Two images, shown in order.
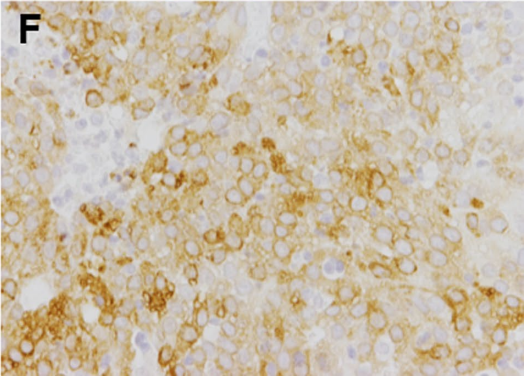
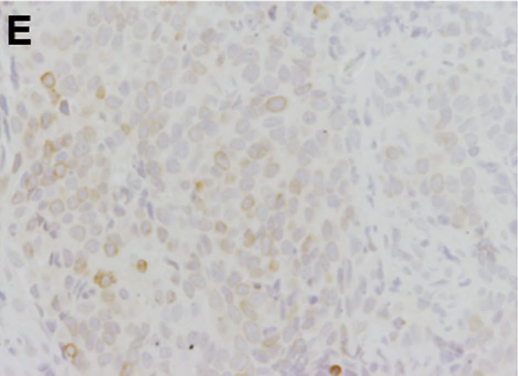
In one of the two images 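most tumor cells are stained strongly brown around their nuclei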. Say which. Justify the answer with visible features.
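The first image. First image: many cells show dense brown rings around the nuclei in large patches. Second image: only scattered cells show faint brown staining; most are pale.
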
